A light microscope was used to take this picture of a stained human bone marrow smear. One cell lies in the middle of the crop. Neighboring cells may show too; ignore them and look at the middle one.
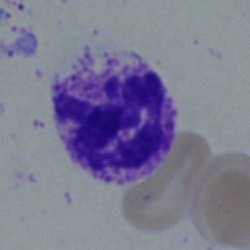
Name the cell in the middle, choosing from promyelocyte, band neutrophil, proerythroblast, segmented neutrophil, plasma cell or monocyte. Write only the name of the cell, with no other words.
segmented neutrophil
